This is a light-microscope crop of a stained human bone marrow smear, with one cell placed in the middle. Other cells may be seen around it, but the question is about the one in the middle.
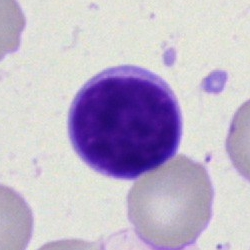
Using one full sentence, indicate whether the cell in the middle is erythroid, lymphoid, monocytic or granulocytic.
The correct lineage for the cell at the center is the lymphoid one.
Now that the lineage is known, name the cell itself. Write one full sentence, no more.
The cell under consideration, at the middle of the crop, is a lymphocyte.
